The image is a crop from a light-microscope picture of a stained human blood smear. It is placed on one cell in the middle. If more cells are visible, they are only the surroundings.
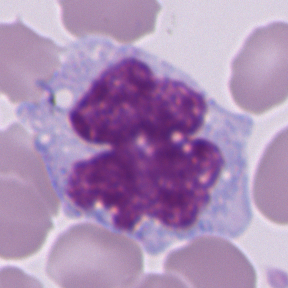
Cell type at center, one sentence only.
The identification for the central cell is a monocyte.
